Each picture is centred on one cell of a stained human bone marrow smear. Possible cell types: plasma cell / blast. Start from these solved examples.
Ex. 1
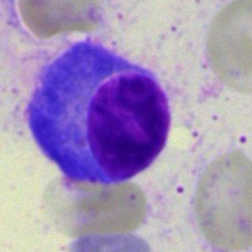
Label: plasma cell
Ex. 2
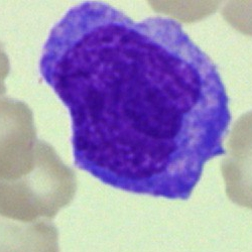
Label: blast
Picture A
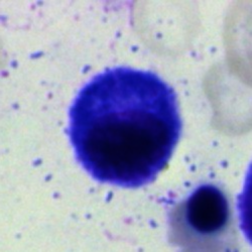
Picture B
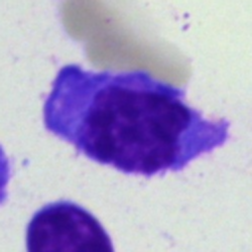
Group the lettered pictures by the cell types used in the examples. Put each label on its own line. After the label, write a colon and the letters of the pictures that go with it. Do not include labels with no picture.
plasma cell: A, B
